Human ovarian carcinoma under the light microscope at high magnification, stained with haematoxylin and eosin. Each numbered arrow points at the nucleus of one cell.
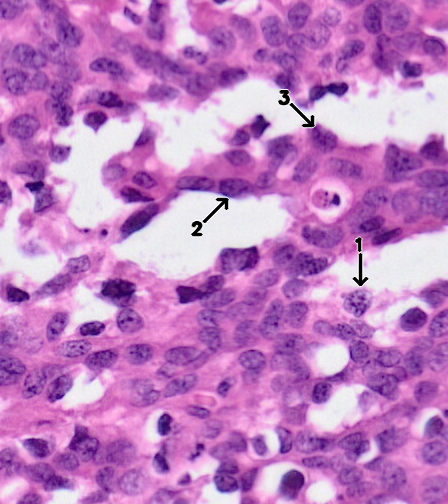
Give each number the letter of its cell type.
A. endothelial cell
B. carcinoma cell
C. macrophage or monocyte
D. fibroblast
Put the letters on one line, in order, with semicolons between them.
C; B; B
